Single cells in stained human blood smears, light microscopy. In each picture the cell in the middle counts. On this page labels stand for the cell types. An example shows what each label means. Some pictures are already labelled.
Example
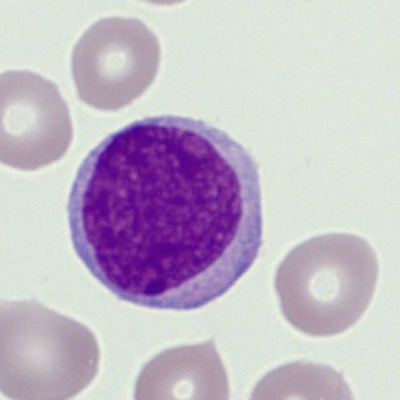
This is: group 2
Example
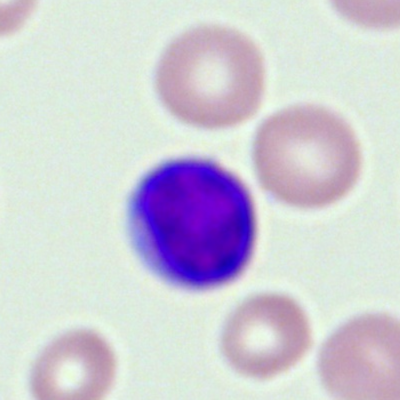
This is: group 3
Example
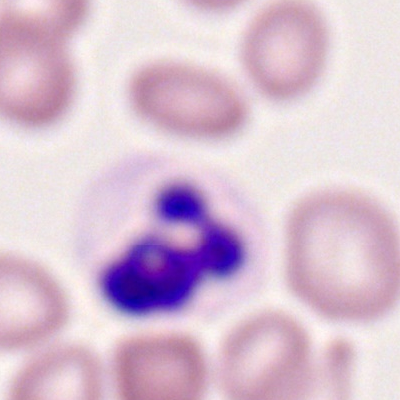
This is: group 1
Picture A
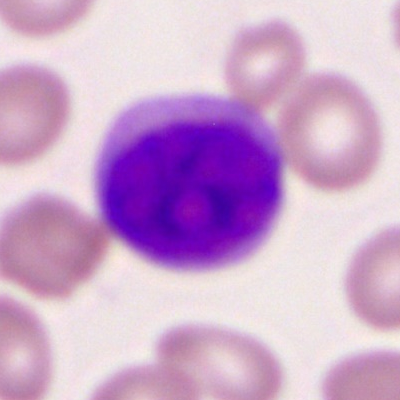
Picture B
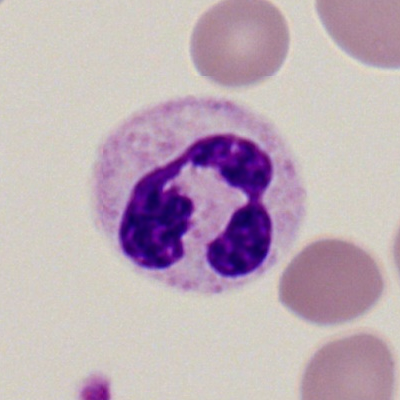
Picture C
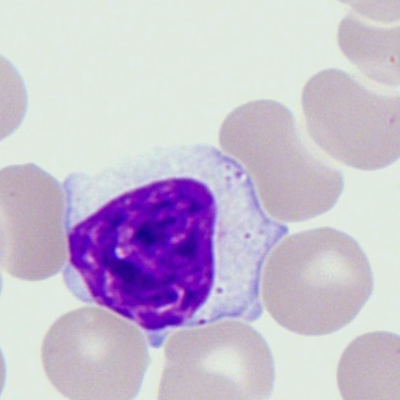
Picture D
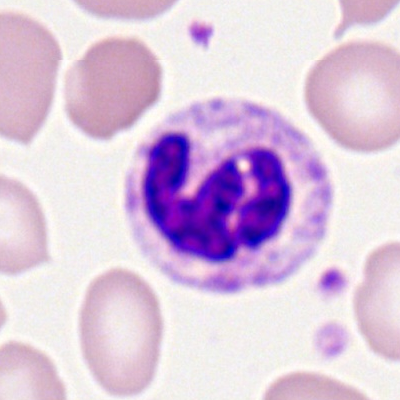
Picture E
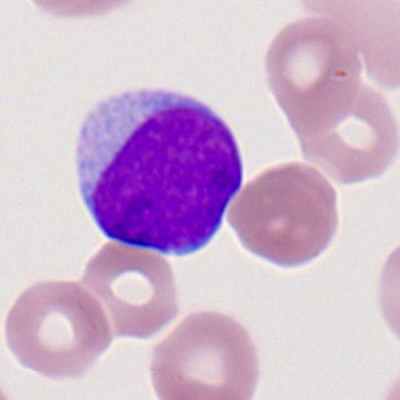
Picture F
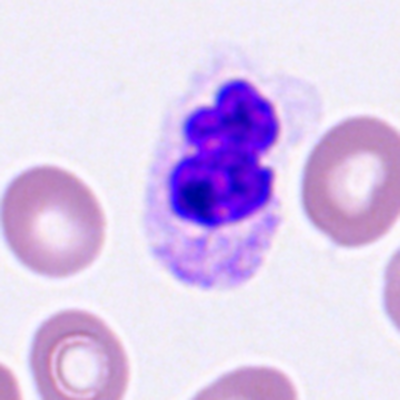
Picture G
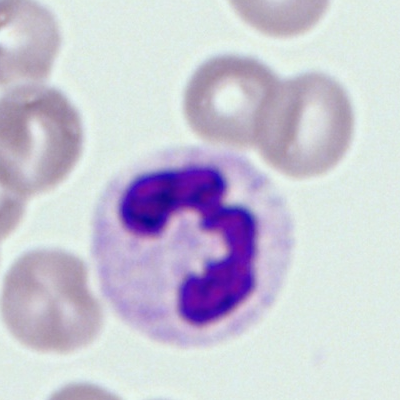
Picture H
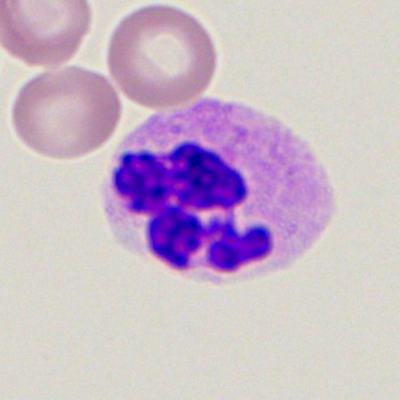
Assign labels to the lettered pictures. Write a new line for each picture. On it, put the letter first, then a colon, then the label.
A: group 2
B: group 1
C: group 3
D: group 1
E: group 2
F: group 1
G: group 1
H: group 1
